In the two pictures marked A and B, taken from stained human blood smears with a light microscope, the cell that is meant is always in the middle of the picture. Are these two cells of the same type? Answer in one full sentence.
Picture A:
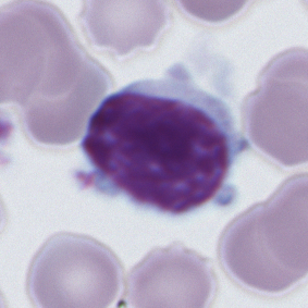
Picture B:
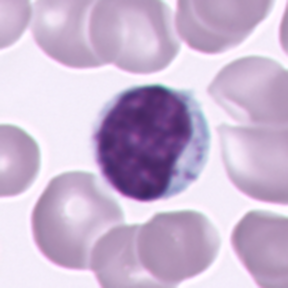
Yes, the two pictures both show typical lymphocytes.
